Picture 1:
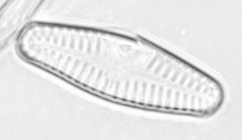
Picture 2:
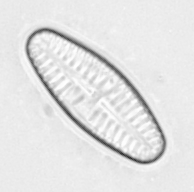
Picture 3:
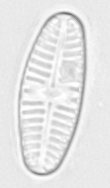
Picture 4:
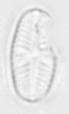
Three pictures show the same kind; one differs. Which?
Picture 4: Sellaphora, while the others are Planothidium.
